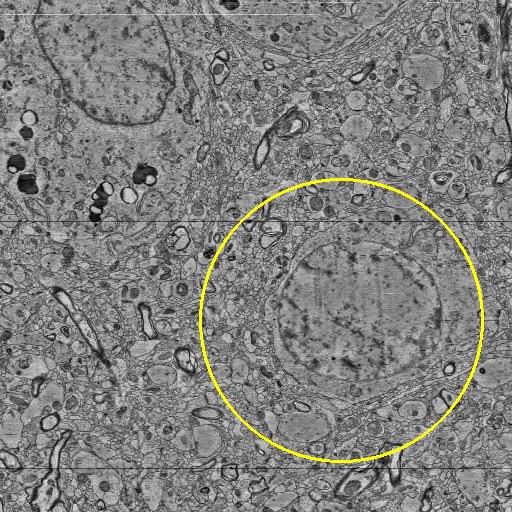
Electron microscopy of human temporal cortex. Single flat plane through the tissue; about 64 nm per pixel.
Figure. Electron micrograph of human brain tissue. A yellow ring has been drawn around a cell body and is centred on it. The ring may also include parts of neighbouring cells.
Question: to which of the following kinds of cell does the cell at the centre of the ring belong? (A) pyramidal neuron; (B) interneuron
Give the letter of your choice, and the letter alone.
B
